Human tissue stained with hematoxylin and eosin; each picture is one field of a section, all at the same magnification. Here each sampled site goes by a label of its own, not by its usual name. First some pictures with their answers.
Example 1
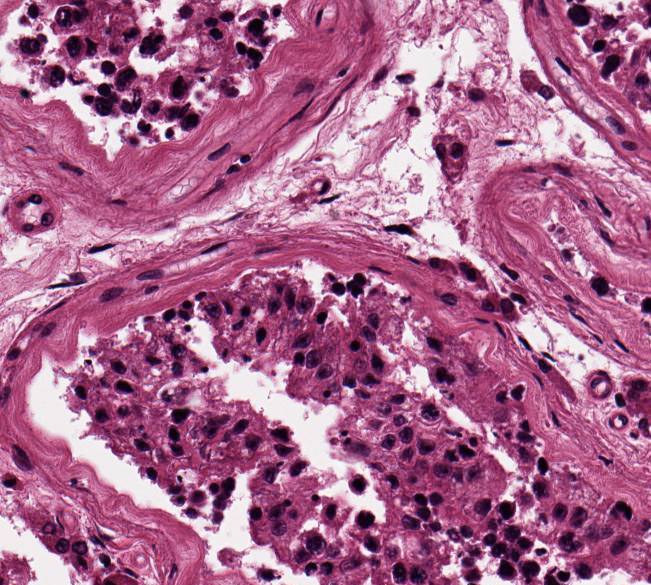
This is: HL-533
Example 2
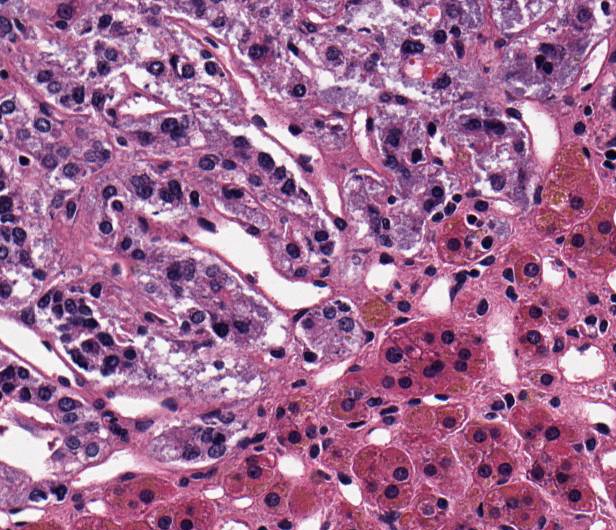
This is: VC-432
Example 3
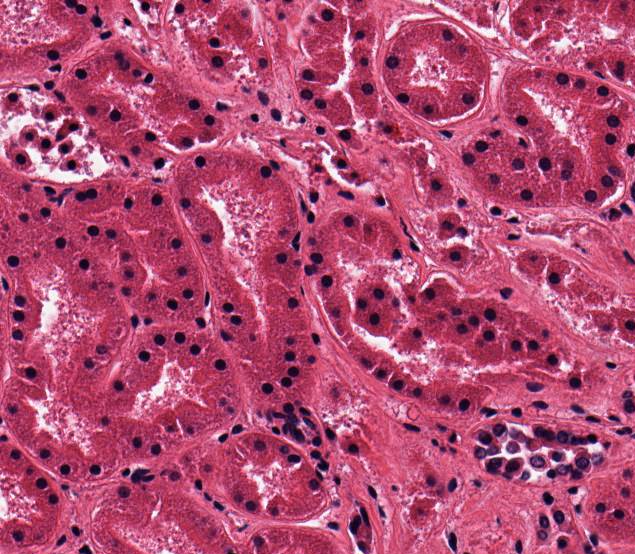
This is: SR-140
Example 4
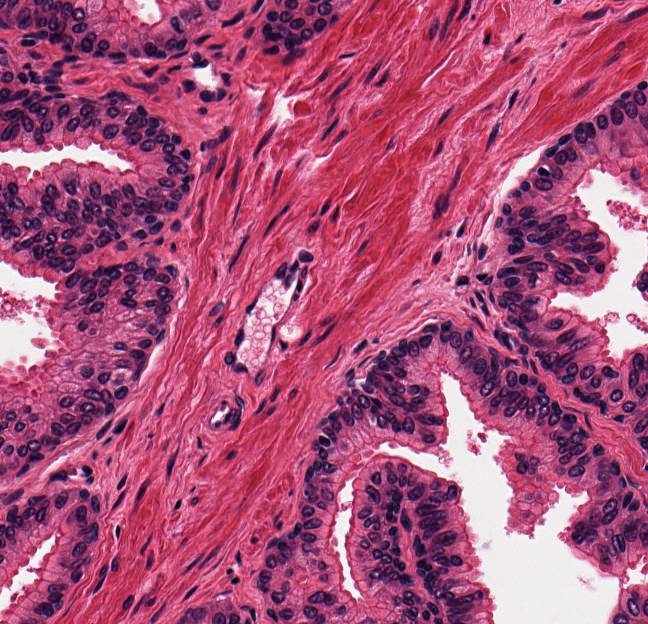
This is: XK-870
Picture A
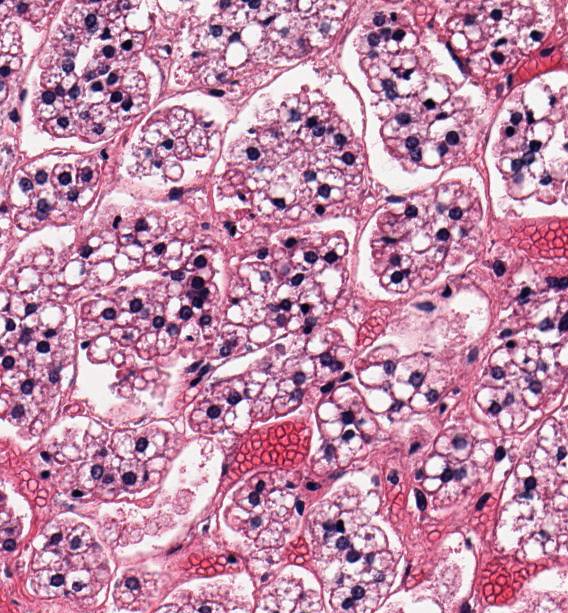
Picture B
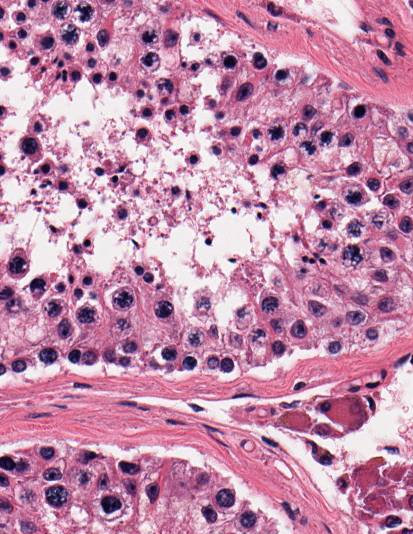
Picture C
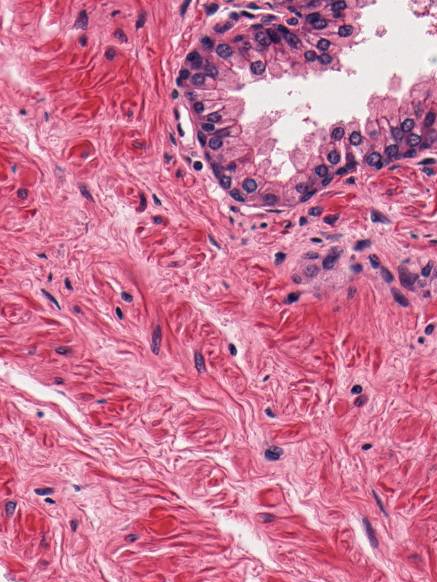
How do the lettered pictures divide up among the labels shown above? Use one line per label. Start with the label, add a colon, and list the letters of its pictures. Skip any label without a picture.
HL-533: B
VC-432: A
XK-870: C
